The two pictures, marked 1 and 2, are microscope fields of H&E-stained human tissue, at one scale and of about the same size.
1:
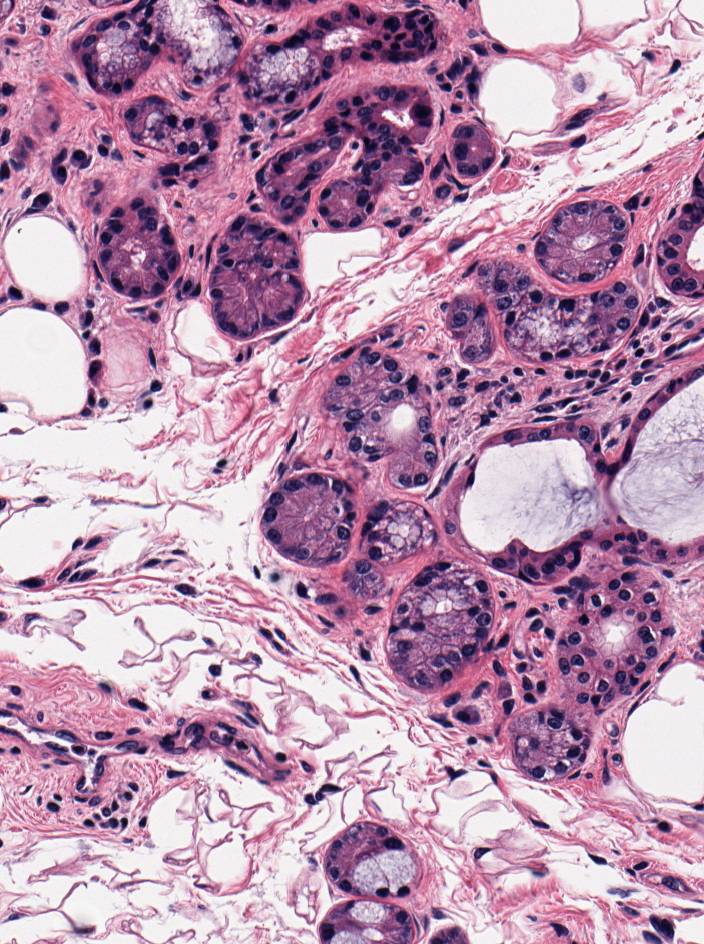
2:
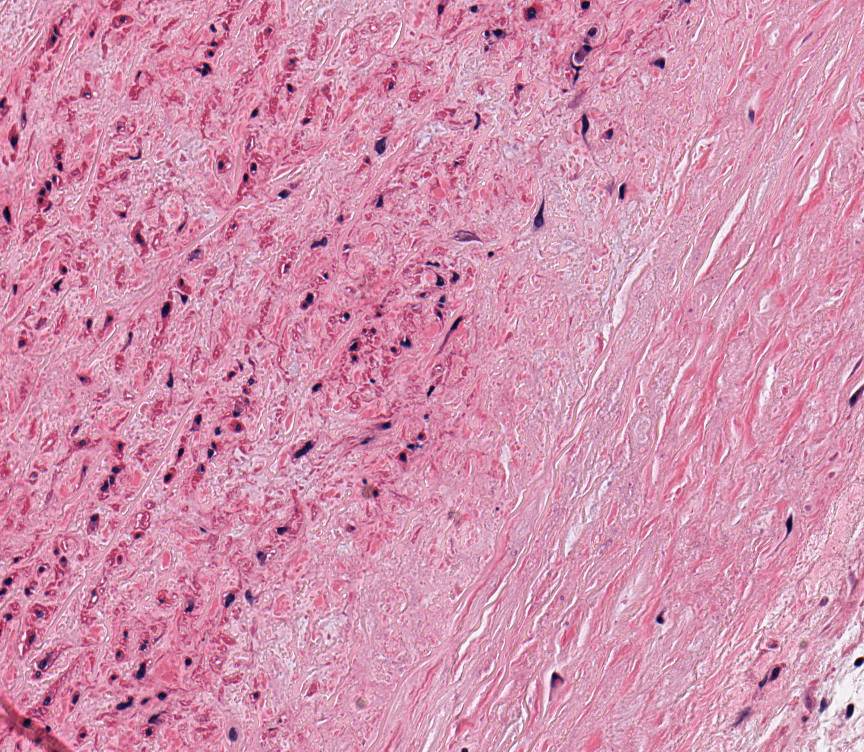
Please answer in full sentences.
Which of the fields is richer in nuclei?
It is field 1 that has more nuclei in it.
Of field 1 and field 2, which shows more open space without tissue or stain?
It is field 1 in which white space covers the larger part.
